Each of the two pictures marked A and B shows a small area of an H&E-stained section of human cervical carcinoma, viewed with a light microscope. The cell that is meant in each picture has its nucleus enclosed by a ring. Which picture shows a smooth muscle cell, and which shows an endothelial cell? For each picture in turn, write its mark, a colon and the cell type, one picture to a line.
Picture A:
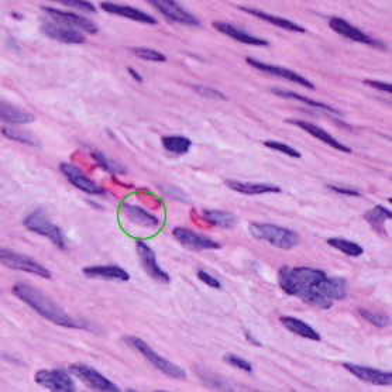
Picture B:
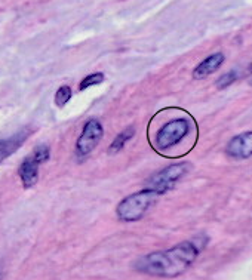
A: endothelial cell
B: smooth muscle cell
